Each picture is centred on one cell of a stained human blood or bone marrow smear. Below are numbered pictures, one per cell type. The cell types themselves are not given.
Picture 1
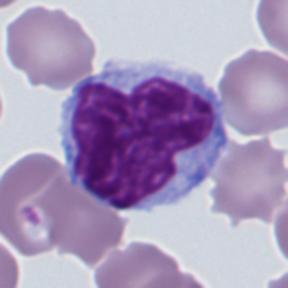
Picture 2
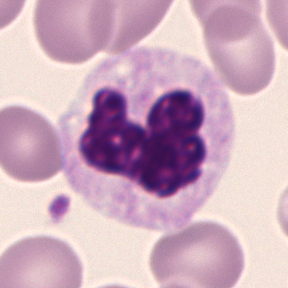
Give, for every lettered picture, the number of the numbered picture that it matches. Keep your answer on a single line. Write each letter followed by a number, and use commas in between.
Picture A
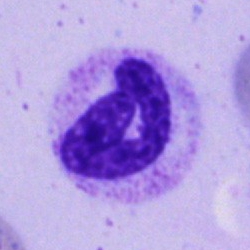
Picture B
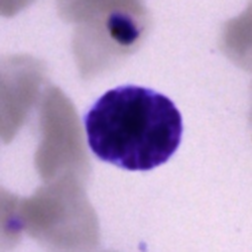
A 2, B 1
